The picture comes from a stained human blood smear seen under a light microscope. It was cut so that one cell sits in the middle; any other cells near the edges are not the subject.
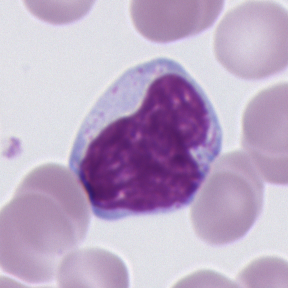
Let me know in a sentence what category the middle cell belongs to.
The middle position in this crop is taken by a large granular lymphocyte.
